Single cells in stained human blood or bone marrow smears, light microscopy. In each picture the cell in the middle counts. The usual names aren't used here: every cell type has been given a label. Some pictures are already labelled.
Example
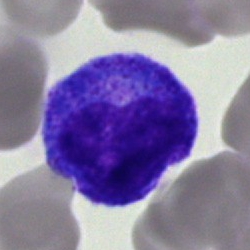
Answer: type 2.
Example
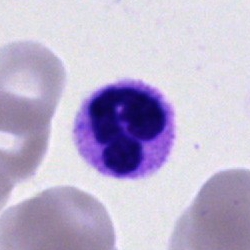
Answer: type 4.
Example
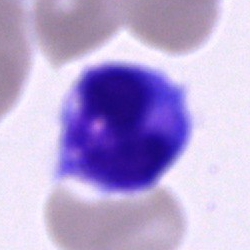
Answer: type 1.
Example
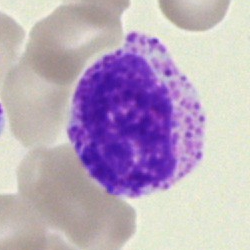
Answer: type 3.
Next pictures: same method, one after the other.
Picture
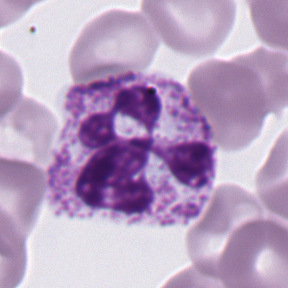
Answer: type 4.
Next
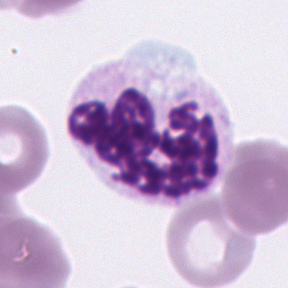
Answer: type 4.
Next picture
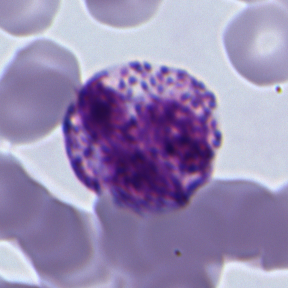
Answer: type 3.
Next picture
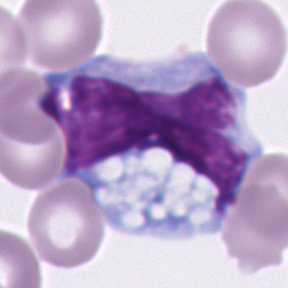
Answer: type 1.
